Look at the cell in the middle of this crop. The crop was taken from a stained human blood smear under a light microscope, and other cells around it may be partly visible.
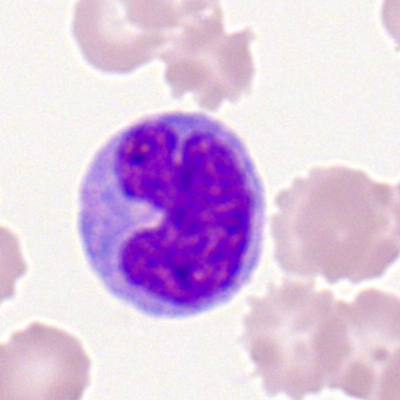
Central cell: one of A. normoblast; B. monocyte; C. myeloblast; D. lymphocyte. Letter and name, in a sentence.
Option B is the correct selection, for the cell at the centre is a monocyte.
